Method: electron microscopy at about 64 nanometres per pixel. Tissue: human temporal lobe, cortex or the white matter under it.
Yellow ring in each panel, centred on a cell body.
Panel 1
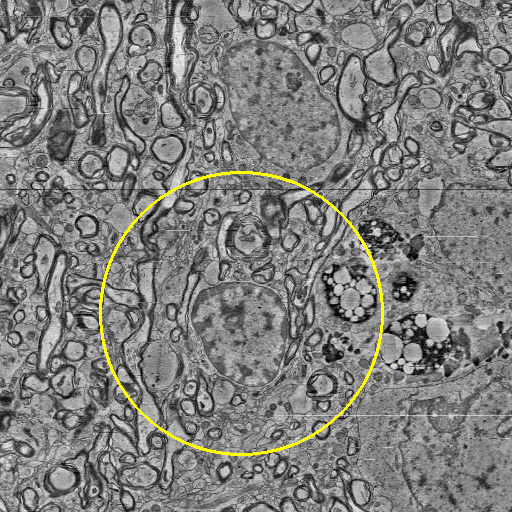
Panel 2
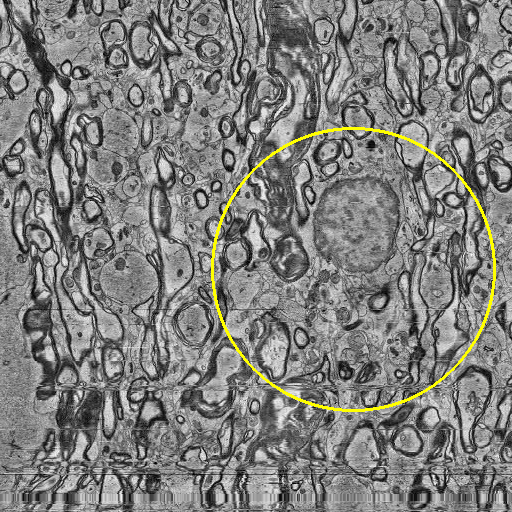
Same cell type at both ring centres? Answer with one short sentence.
No, the two cells are of two types.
